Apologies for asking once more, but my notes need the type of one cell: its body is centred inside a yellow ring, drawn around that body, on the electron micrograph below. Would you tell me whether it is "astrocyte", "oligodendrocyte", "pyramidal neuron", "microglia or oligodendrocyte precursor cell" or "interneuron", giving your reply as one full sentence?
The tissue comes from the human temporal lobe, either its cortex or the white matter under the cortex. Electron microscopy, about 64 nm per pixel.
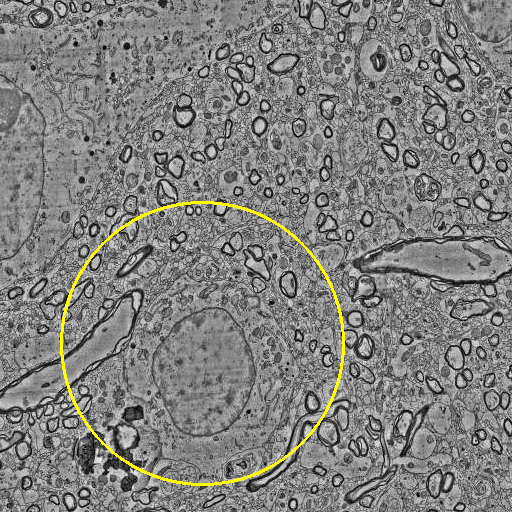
The cell that the yellow ring is centred on is an interneuron in this micrograph.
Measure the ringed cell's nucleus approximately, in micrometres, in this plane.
In this plane the nucleus measures roughly 8 by 7 micrometres.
